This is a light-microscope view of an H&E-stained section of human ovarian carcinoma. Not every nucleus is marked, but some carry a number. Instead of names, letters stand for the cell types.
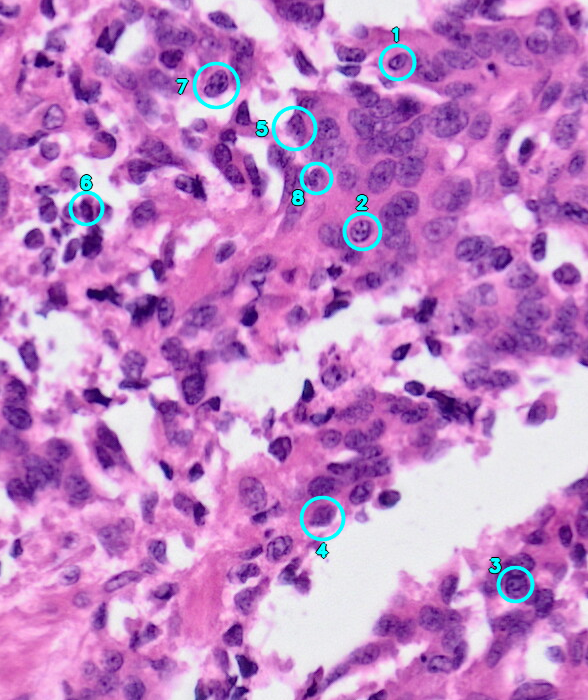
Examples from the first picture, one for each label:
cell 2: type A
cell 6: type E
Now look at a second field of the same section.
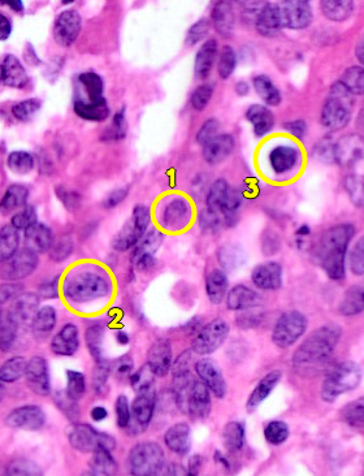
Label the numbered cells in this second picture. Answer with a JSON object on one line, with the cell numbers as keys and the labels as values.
{"1": "type A", "2": "type A", "3": "type E"}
